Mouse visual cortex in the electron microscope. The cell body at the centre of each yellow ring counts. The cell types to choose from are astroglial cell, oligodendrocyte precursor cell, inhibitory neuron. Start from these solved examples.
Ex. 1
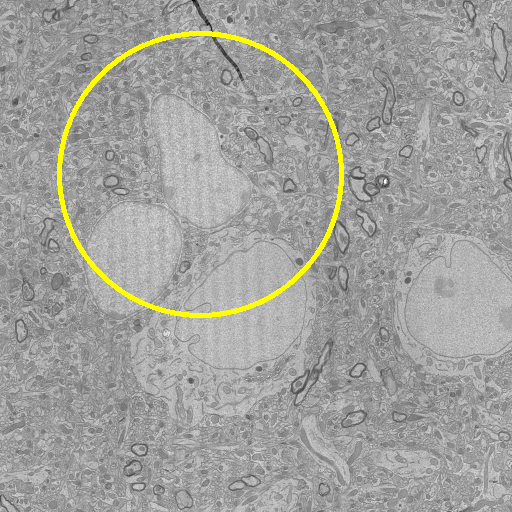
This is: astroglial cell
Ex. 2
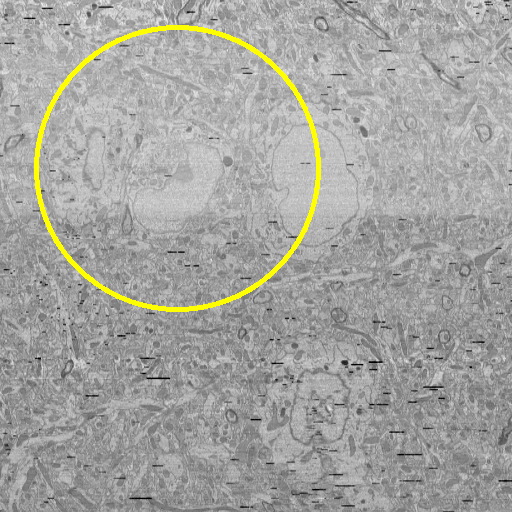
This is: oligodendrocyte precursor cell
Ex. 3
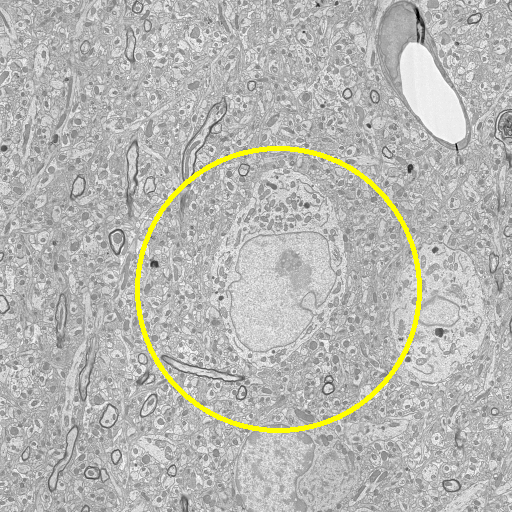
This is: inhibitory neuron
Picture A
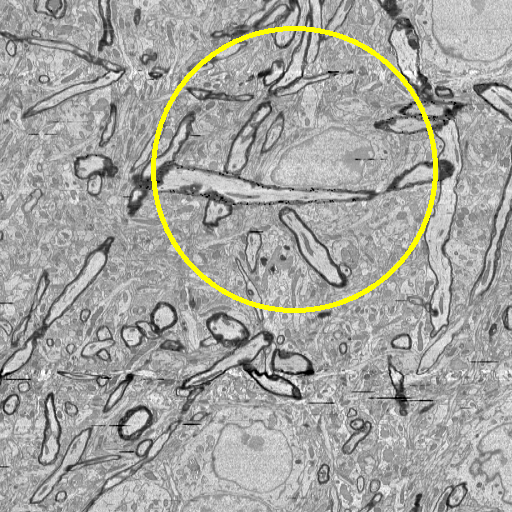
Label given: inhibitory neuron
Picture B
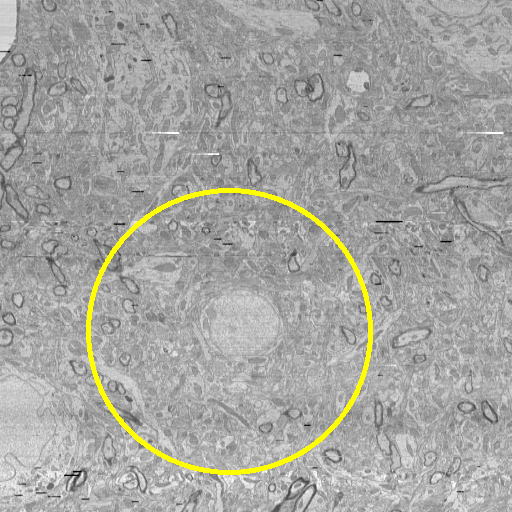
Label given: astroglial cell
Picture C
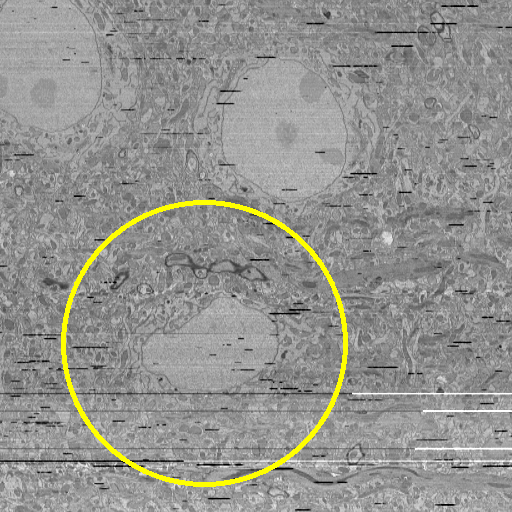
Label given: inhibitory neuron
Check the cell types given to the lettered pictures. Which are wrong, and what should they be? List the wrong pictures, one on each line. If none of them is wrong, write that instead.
A should be oligodendrocyte precursor cell, not inhibitory neuron
B should be oligodendrocyte precursor cell, not astroglial cell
